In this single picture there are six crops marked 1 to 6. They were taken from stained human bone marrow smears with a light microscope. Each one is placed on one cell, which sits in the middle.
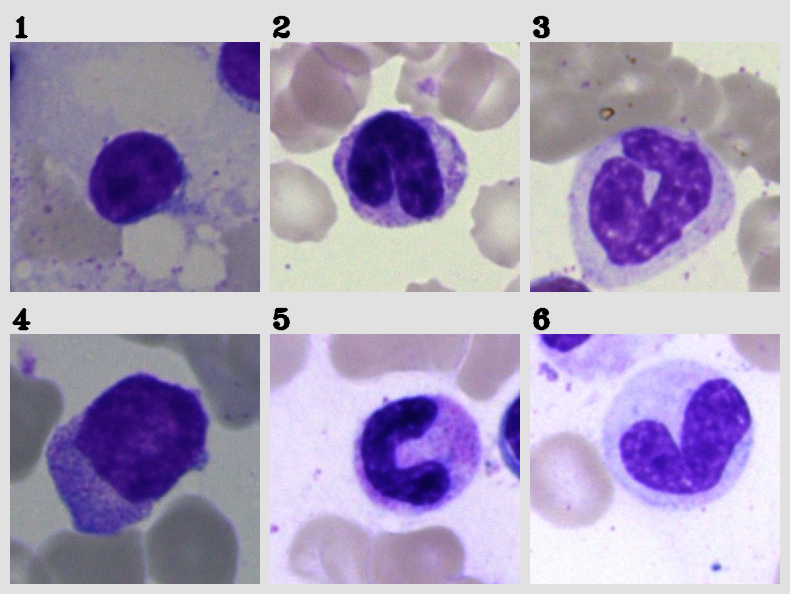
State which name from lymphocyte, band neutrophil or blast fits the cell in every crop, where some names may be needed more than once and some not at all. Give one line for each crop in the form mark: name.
1: lymphocyte
2: band neutrophil
3: band neutrophil
4: blast
5: band neutrophil
6: band neutrophil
